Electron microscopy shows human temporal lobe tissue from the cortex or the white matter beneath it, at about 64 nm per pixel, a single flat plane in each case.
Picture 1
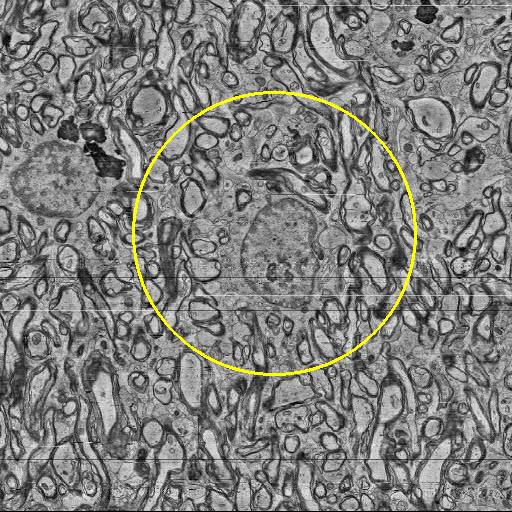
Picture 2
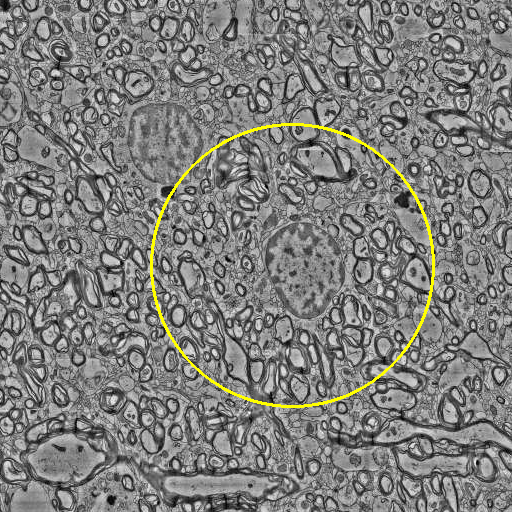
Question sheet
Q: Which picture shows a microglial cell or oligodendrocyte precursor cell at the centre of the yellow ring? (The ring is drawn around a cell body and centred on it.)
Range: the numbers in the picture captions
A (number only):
2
